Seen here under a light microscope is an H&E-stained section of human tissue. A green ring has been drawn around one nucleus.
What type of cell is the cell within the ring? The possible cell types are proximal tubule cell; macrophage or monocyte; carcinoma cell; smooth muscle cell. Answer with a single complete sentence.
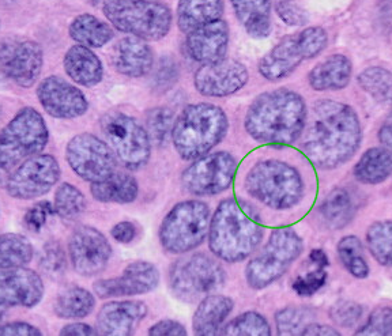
For cell typing purposes, the cell within the ring is a carcinoma cell.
